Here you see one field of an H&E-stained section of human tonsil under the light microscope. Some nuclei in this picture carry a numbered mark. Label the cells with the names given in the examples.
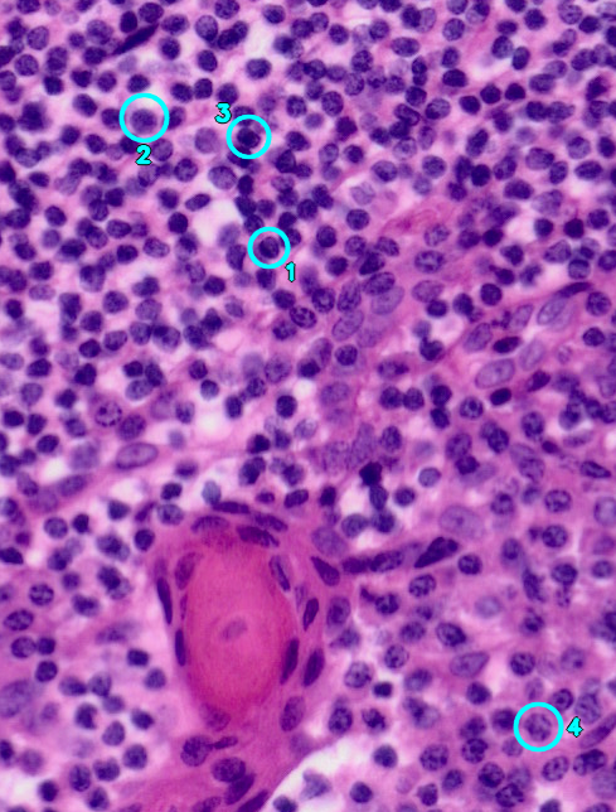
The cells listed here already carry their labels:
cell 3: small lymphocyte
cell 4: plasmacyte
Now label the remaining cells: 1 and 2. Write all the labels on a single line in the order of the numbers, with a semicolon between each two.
small lymphocyte; small lymphocyte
